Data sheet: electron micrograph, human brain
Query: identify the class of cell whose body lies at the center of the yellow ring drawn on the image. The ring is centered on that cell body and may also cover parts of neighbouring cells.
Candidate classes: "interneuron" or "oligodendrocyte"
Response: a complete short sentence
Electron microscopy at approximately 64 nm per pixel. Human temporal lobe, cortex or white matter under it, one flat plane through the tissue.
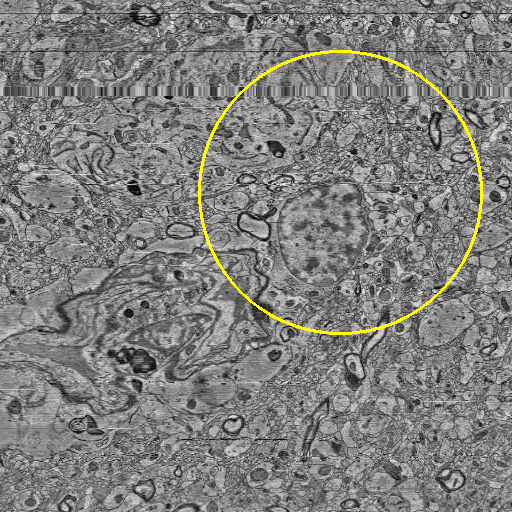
At the center of the ring lies an oligodendrocyte.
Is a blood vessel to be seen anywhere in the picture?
Yes.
